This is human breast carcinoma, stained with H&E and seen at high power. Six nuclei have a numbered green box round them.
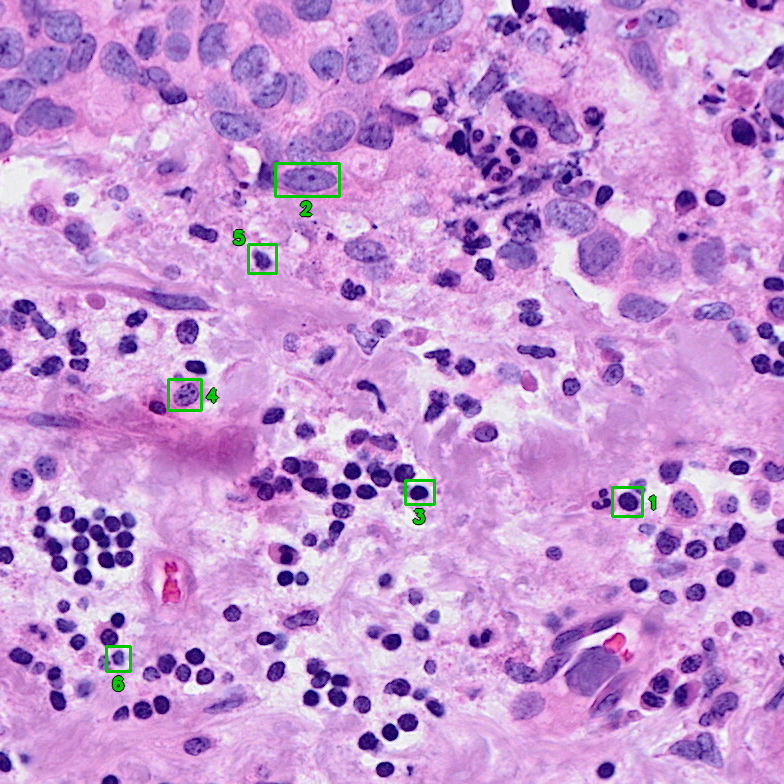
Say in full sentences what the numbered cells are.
Cells 1, 3, 5 and 6 are lymphocytes. Cell 2 is a carcinoma cell. Cell 4 is a mast cell.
